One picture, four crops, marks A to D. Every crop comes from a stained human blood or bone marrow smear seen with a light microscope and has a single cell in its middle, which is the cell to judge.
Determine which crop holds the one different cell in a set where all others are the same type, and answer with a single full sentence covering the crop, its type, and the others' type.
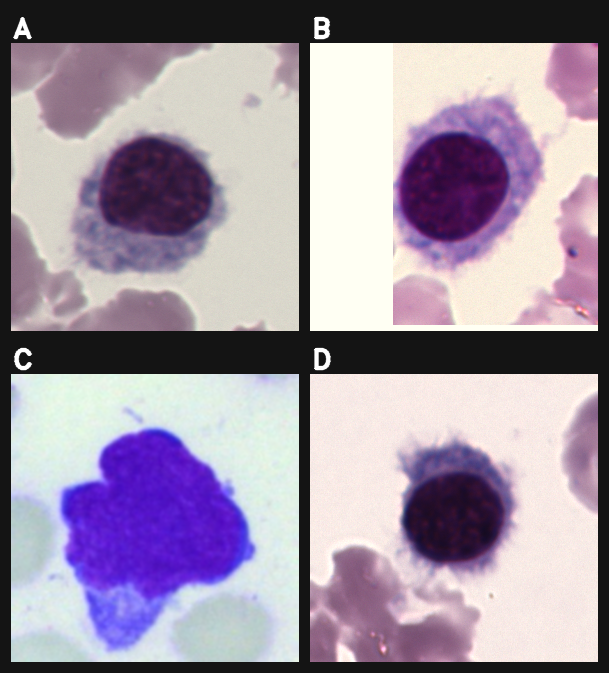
Crop C is the only one that is a blast; all the others show hairy cells.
